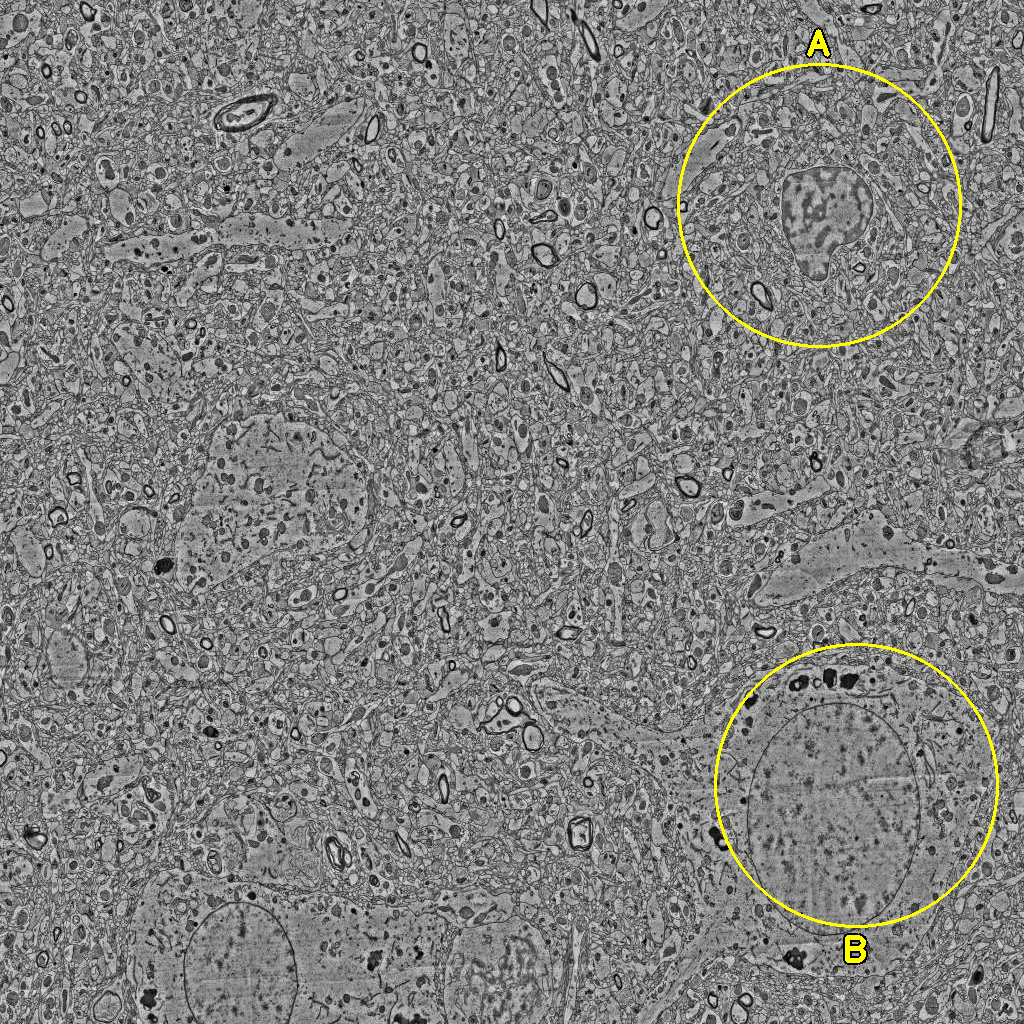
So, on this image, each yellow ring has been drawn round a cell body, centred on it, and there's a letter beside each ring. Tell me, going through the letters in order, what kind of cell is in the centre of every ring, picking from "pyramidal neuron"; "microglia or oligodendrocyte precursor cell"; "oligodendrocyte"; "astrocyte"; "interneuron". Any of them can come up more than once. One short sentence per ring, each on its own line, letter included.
Ring A has been drawn round a microglial cell or oligodendrocyte precursor cell.
Ring B has been drawn round a pyramidal neuron.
